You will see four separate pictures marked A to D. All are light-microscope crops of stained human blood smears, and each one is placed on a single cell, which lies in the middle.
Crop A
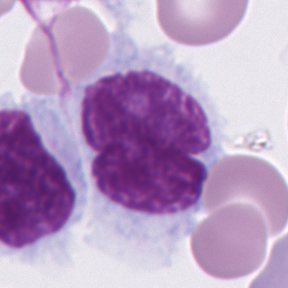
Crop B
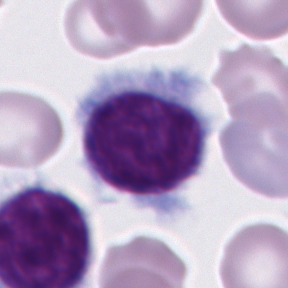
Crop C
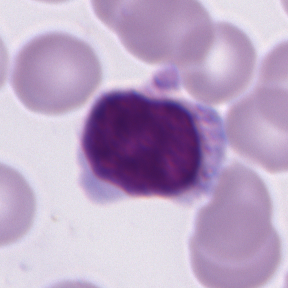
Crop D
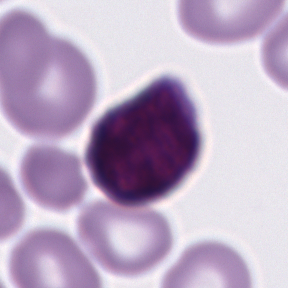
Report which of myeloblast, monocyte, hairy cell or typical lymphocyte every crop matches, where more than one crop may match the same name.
A: hairy cell
B: hairy cell
C: typical lymphocyte
D: myeloblast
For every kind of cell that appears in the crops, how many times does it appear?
hairy cell: 2
typical lymphocyte: 1
myeloblast: 1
